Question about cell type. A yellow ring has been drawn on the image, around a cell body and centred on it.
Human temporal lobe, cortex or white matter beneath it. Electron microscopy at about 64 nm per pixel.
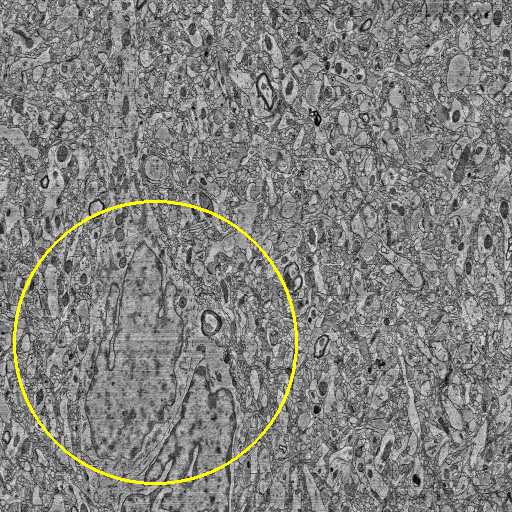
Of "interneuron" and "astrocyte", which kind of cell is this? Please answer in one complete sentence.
At the centre of the ring lies an interneuron.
